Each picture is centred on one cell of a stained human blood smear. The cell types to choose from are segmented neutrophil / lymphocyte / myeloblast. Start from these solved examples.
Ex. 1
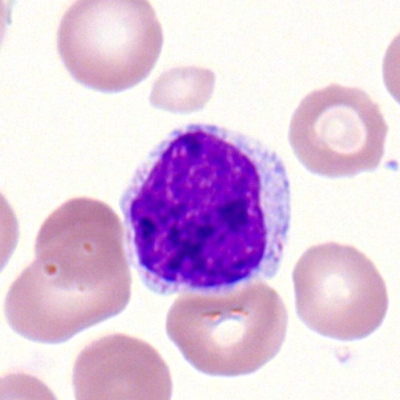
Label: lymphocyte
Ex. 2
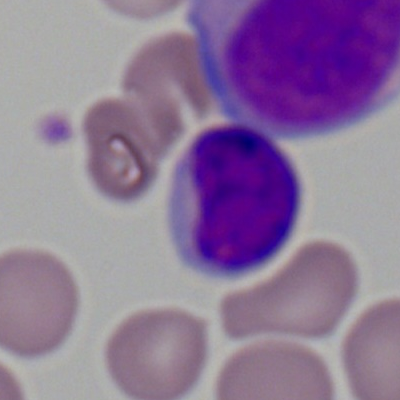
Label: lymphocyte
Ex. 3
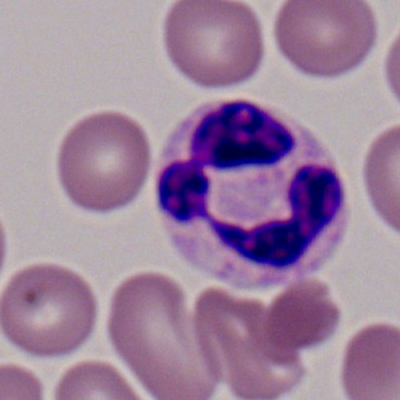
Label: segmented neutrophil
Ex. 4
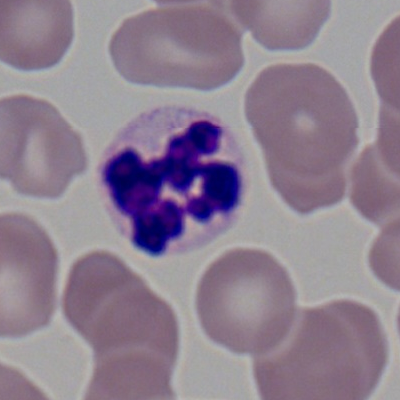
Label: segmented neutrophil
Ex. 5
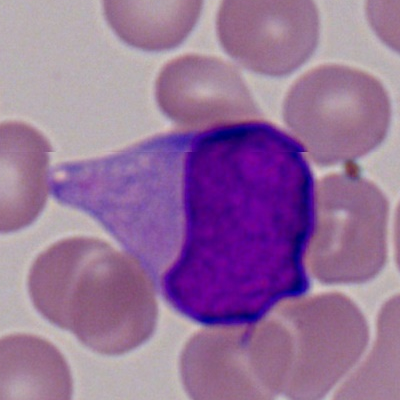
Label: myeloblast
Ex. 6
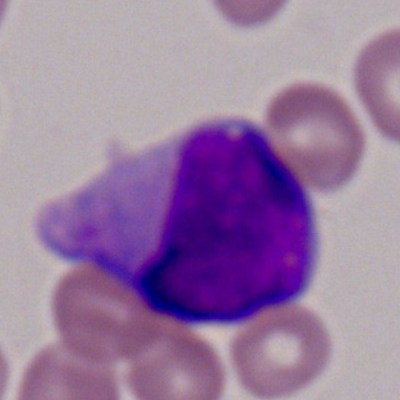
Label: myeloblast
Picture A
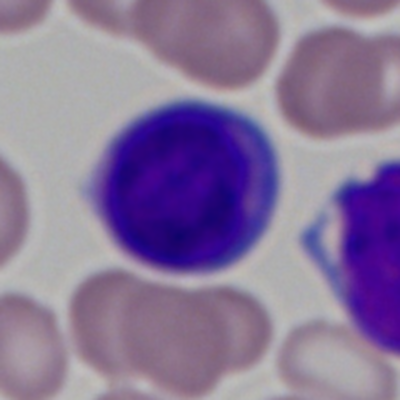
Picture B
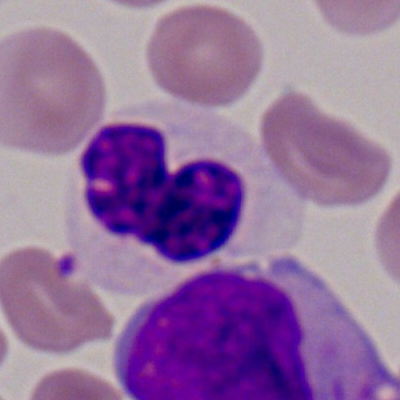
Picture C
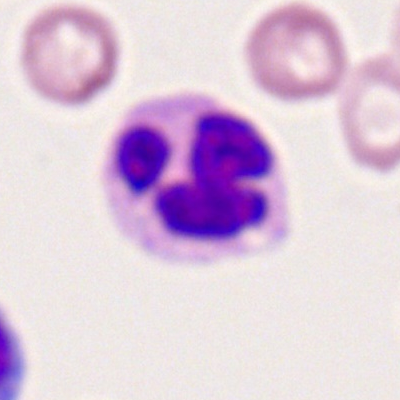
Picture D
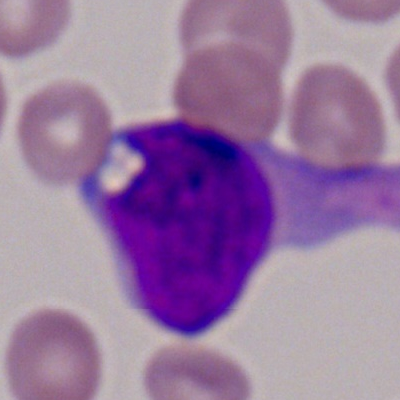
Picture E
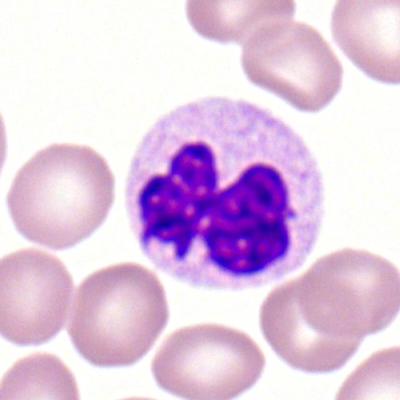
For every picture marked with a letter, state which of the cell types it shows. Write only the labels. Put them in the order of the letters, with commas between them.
myeloblast, segmented neutrophil, segmented neutrophil, myeloblast, segmented neutrophil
